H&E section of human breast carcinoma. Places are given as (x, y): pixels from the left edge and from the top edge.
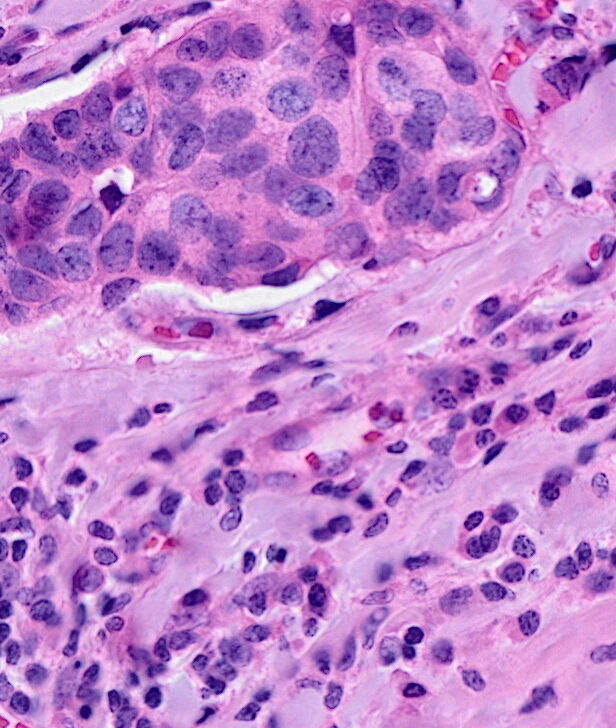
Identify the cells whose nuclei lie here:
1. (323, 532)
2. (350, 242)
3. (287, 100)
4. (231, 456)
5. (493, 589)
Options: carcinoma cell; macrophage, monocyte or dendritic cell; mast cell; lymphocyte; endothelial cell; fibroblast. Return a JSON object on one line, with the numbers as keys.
{"1": "lymphocyte", "2": "carcinoma cell", "3": "carcinoma cell", "4": "lymphocyte", "5": "lymphocyte"}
